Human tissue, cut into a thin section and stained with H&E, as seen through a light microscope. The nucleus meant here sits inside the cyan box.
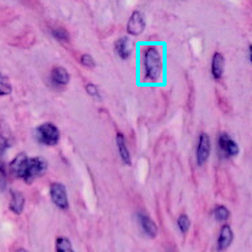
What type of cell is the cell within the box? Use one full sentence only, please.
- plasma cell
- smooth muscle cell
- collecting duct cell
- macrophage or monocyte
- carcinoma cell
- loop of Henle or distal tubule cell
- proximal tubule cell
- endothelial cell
The correct response here is that the cell within the box is a smooth muscle cell.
